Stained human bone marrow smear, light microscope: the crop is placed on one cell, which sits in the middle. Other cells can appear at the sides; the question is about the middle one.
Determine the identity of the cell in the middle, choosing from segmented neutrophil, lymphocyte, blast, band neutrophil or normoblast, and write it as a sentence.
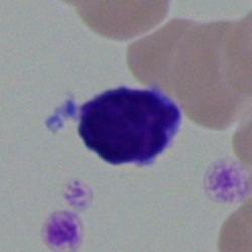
The central cell in this smear crop is a lymphocyte.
